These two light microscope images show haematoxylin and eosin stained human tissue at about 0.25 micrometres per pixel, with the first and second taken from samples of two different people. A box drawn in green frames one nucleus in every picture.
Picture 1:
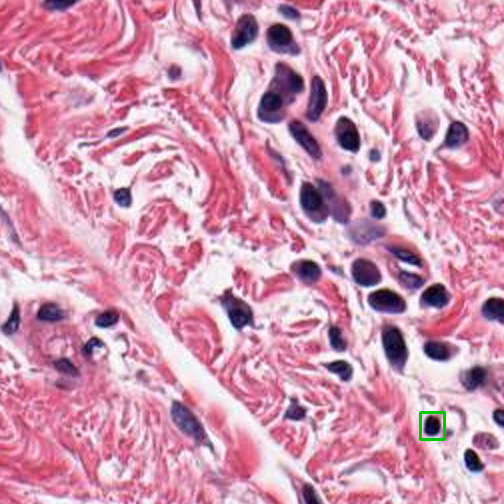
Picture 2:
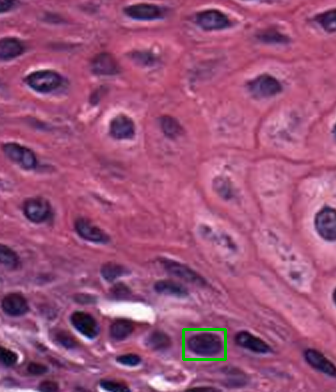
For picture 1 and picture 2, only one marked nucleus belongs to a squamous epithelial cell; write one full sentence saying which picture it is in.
In picture 2, the mark falls on the nucleus of a squamous epithelial cell.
